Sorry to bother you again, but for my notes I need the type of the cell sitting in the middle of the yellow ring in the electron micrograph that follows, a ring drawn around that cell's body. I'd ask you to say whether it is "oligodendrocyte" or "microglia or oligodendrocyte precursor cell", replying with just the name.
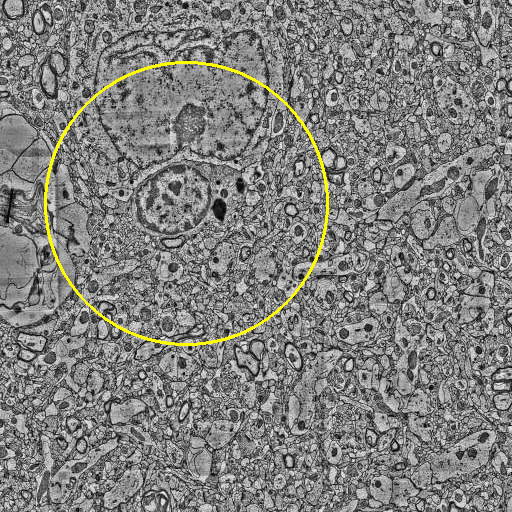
oligodendrocyte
